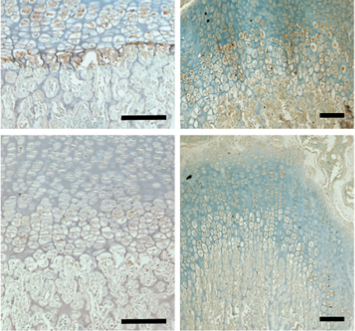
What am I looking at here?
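Growth plate cartilage with chondrocytes set in lacunae within a blue-stained matrix. The chondrocytes are stacked in columns and enlarge toward the lower edge, where the cartilage meets open marrow spaces. Brown staining marks many chondrocytes in the upper images, most strongly along the lower border of the cartilage in the left one. In the lower images the chondrocytes show little brown staining.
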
